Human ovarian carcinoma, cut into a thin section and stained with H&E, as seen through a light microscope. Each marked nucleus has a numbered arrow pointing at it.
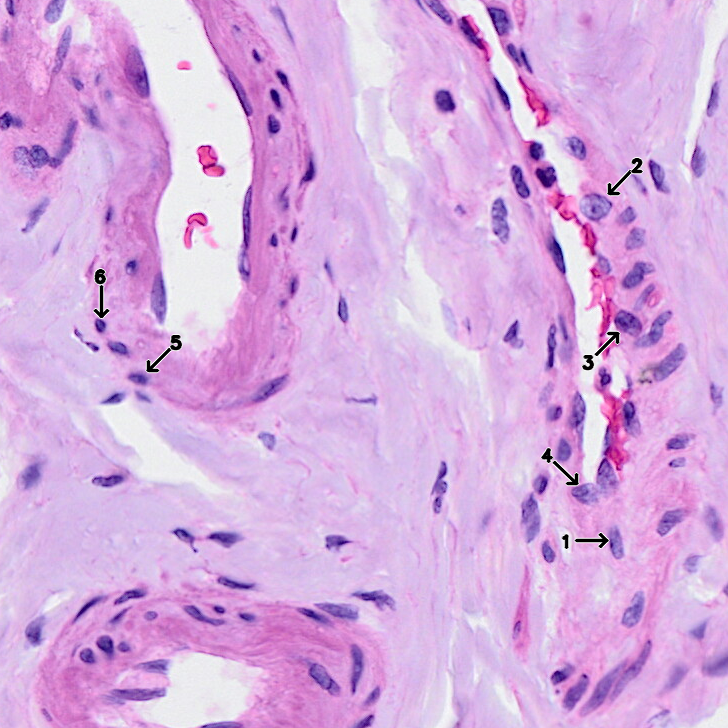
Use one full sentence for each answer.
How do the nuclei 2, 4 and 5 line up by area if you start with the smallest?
By area, going up from the smallest, they rank 5, 4, 2.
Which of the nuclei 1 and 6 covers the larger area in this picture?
Nucleus 1 is the larger one, covering about 4 times the area of nucleus 6.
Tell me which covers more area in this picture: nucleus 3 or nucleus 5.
Of the two, number 3 is bigger and takes up about 2 times the area of number 5.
